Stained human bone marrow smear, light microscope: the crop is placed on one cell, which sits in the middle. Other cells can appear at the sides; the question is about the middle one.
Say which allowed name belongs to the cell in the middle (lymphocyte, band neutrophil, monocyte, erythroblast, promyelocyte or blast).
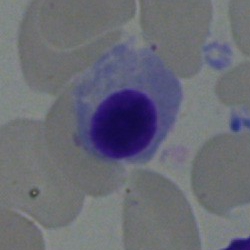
erythroblast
